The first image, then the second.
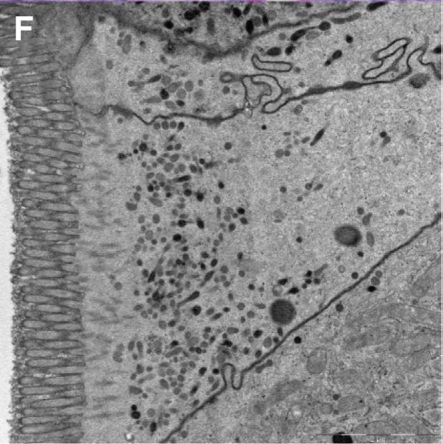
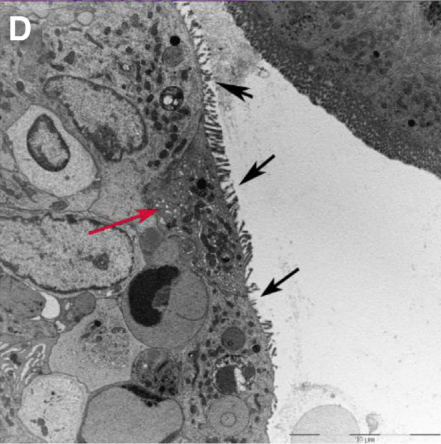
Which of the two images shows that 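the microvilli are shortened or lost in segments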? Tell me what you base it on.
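First image: a dense palisade of long, regular, parallel microvilli covers the apical surface. Second image: the microvilli are short, sparse and irregular, absent in stretches.
Hence: the second image.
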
